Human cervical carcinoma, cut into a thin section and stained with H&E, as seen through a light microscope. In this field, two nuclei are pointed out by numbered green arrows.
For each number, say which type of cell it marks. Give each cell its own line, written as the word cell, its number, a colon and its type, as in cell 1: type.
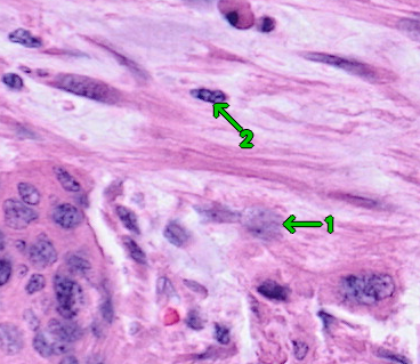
cell 1: fibroblast
cell 2: lymphocyte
